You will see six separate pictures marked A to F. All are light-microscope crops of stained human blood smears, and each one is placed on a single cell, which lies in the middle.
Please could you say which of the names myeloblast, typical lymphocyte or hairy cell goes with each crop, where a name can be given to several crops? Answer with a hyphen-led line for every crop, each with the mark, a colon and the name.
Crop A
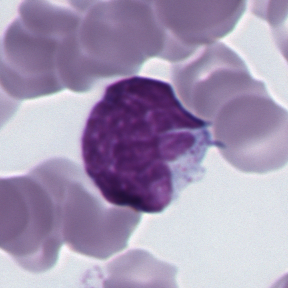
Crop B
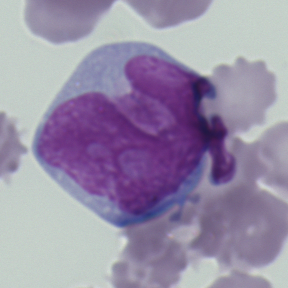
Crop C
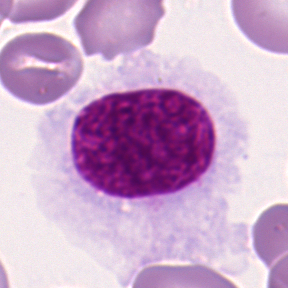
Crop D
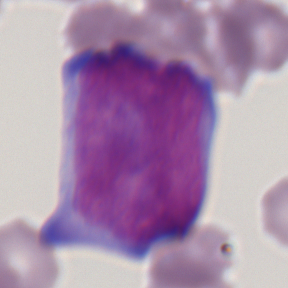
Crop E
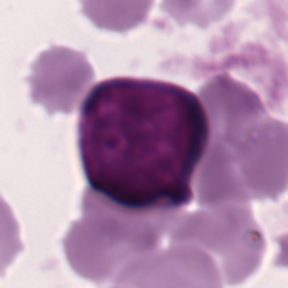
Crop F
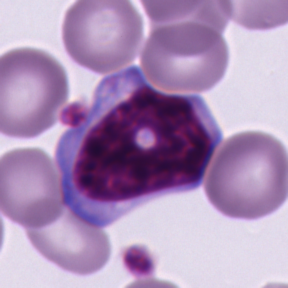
- A: typical lymphocyte
- B: myeloblast
- C: hairy cell
- D: myeloblast
- E: myeloblast
- F: typical lymphocyte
